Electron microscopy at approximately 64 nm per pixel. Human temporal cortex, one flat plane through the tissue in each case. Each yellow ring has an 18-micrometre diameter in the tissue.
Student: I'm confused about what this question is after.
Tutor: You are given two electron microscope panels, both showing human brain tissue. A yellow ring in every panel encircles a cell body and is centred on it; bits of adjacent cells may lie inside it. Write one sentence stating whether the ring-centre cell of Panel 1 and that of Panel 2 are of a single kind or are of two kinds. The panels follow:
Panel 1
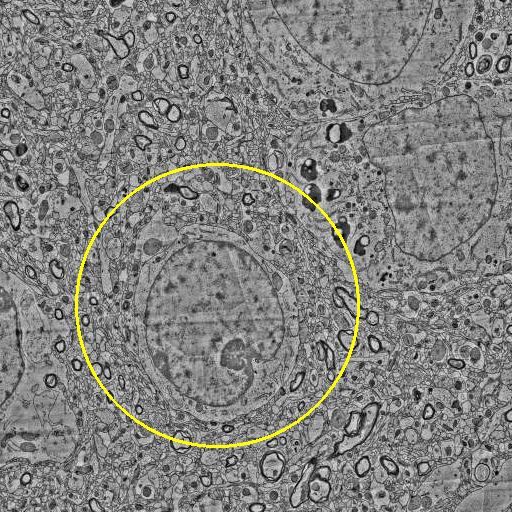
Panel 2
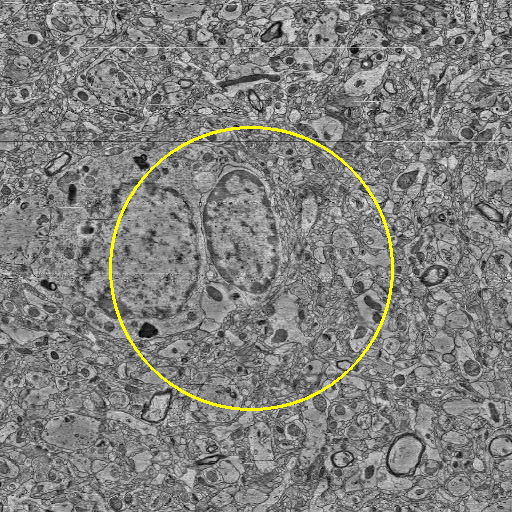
Here, the Panel 1 ring-centre cell and the Panel 2 ring-centre cell are of two kinds.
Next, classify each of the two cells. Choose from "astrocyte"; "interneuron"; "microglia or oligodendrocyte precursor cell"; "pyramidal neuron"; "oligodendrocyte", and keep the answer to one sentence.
In the first picture it is an interneuron; in the second it is a microglial cell or oligodendrocyte precursor cell.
